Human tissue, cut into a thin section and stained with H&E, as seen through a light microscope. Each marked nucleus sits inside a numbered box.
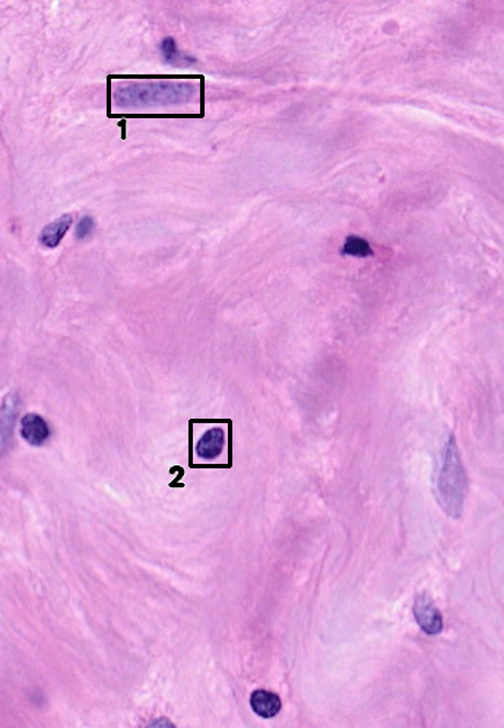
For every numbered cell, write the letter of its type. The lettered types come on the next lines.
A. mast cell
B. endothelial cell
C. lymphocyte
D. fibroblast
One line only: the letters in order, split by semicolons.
D; C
